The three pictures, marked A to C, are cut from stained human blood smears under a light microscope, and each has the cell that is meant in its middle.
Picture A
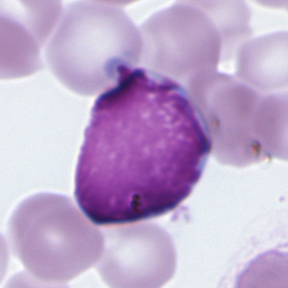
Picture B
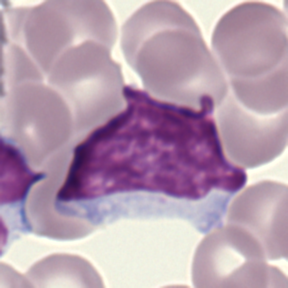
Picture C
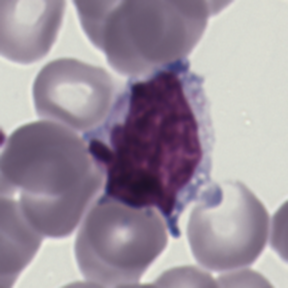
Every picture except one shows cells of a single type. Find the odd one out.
A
